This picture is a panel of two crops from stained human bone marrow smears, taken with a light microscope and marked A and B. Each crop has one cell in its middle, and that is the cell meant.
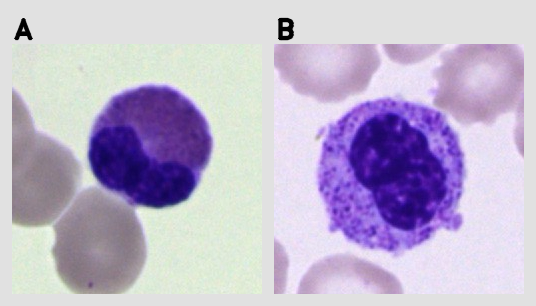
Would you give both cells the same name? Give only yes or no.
no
